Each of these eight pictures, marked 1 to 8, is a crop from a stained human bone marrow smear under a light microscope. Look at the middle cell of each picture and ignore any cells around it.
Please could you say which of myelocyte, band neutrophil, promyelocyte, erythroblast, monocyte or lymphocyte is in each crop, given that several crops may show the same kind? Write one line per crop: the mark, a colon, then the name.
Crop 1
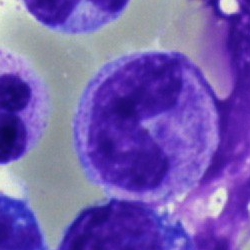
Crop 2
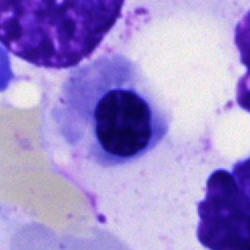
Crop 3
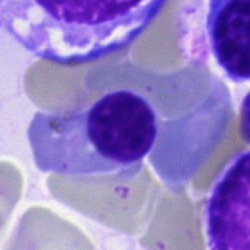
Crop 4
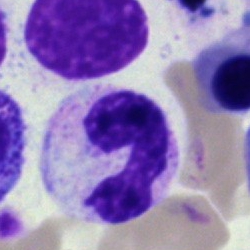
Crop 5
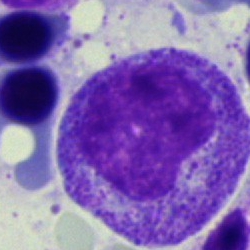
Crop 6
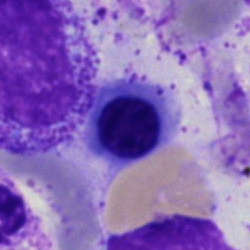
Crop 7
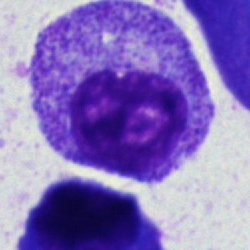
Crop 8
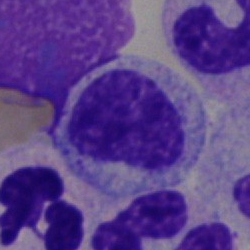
1: band neutrophil
2: erythroblast
3: erythroblast
4: band neutrophil
5: myelocyte
6: erythroblast
7: myelocyte
8: myelocyte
